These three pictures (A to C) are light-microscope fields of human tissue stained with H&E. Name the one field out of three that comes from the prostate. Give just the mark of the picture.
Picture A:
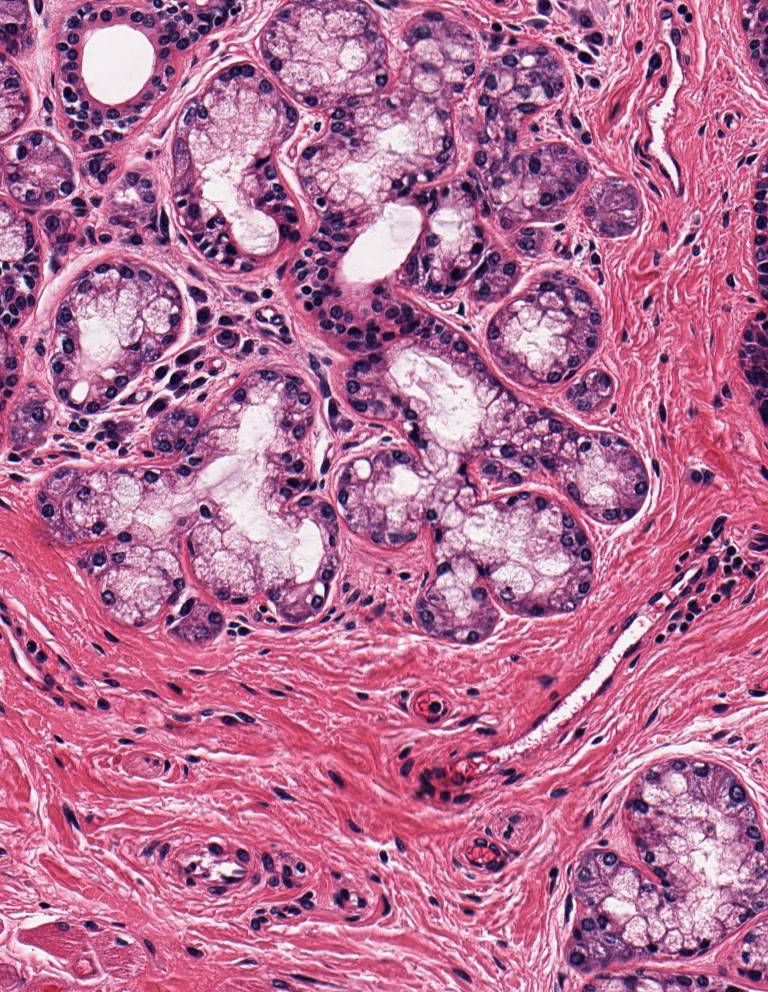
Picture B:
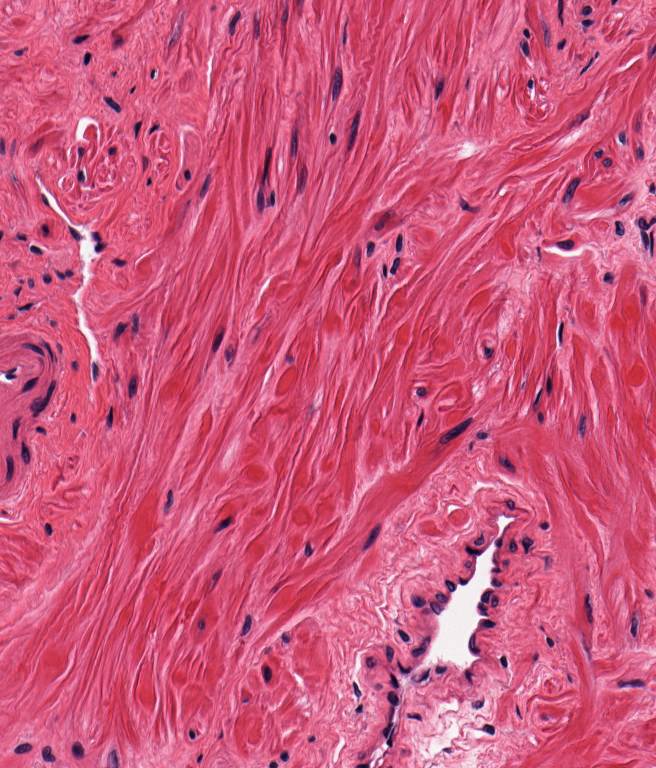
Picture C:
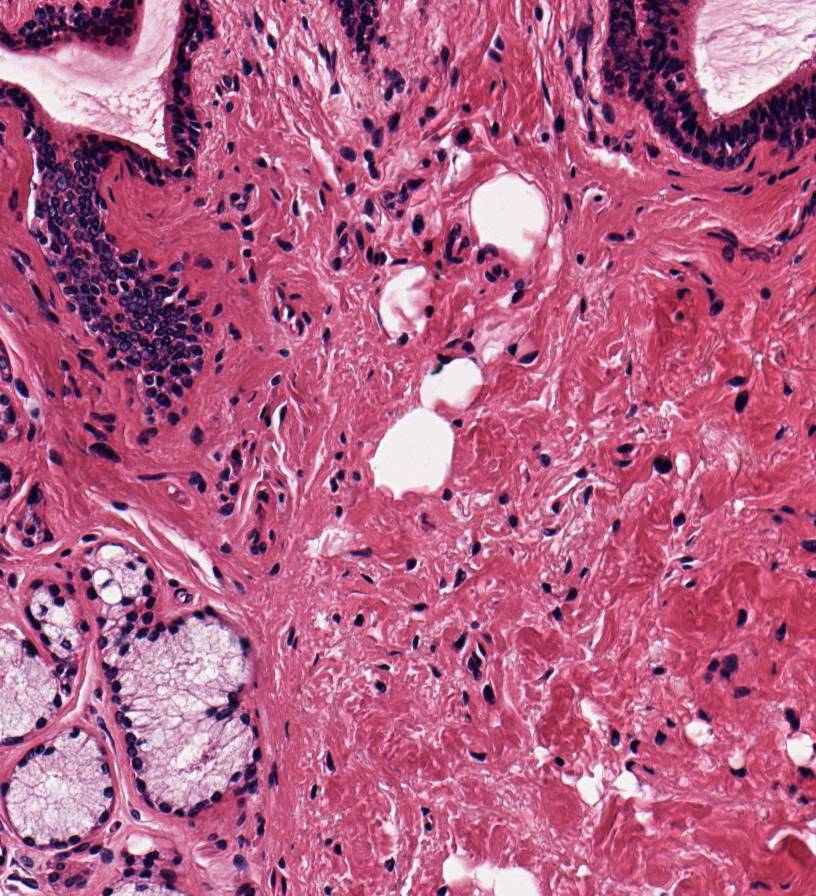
B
